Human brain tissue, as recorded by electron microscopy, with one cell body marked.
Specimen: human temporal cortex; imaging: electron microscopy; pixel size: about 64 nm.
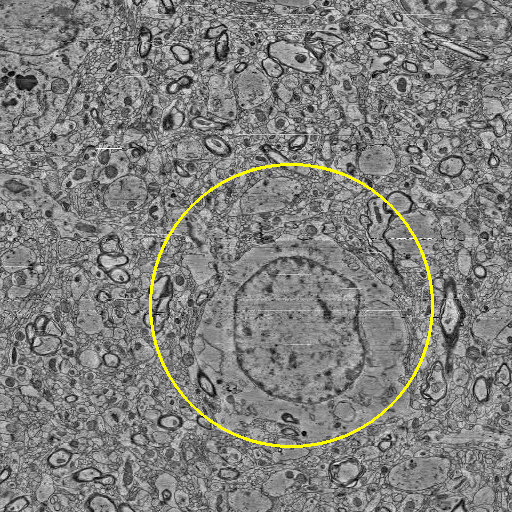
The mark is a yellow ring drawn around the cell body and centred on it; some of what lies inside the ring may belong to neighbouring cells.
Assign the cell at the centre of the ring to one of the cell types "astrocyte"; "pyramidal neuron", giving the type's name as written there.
astrocyte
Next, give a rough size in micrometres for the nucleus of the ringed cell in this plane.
In this plane the nucleus is about 10 micrometres by 8.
